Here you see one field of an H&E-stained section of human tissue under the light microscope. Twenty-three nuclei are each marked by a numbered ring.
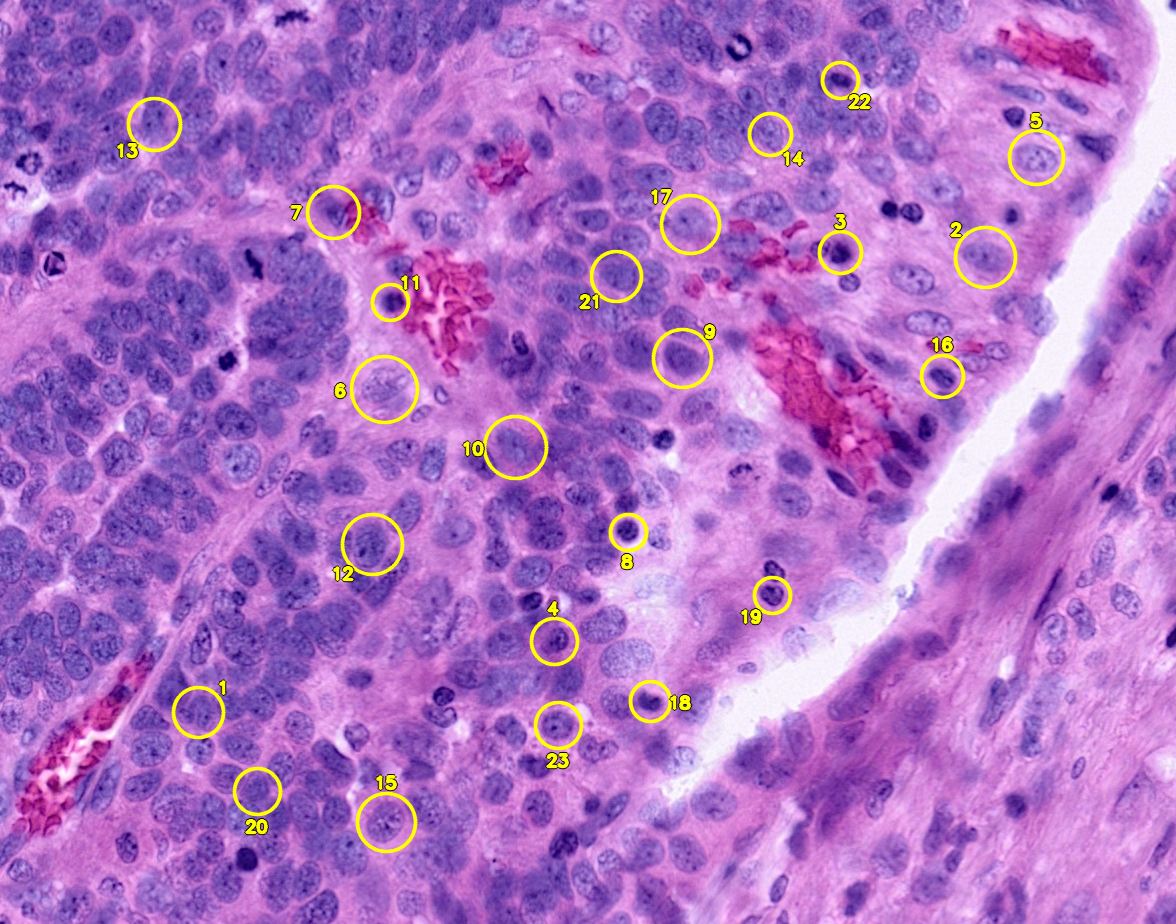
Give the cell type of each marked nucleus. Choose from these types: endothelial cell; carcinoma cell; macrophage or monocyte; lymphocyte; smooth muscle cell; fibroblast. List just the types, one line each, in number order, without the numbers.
carcinoma cell
fibroblast
lymphocyte
macrophage or monocyte
fibroblast
fibroblast
endothelial cell
lymphocyte
carcinoma cell
carcinoma cell
lymphocyte
carcinoma cell
carcinoma cell
carcinoma cell
carcinoma cell
lymphocyte
fibroblast
lymphocyte
lymphocyte
carcinoma cell
carcinoma cell
lymphocyte
macrophage or monocyte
